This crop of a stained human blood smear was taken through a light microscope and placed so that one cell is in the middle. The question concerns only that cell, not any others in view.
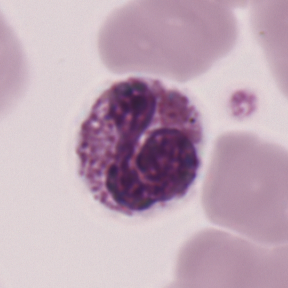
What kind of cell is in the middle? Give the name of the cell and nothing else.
eosinophil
